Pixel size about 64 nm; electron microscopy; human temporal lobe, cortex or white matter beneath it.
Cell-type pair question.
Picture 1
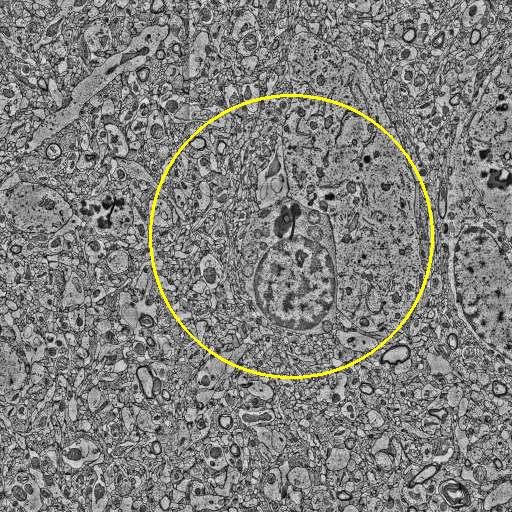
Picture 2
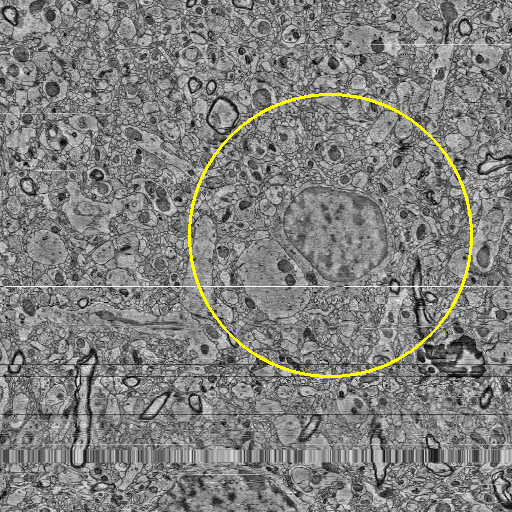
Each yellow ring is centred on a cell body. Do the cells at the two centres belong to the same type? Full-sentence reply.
Yes, the two cells belong to the same type.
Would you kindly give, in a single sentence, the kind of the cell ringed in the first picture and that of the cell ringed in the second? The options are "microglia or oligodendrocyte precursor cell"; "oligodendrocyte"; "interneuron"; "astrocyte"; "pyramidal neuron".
The cell in the first picture is an oligodendrocyte, and so is the one in the second.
